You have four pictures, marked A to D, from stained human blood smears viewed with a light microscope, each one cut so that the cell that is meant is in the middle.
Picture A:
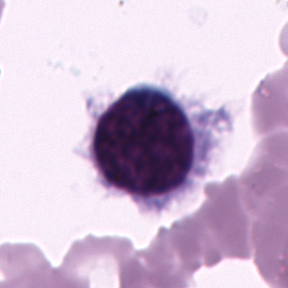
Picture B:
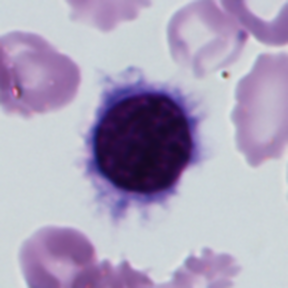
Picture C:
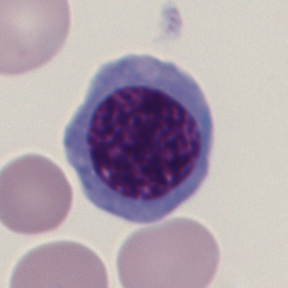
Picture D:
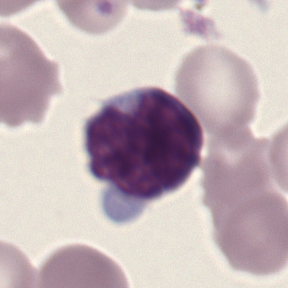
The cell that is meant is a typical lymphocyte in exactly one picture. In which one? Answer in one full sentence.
Picture D is the one that shows the typical lymphocyte.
